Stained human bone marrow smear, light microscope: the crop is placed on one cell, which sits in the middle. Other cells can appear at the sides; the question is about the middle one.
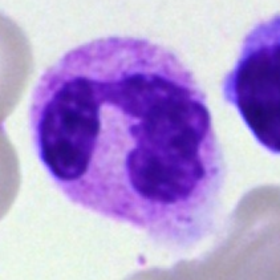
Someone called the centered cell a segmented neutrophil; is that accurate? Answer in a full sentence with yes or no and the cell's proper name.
Yes, the cell of interest in the middle is a segmented neutrophil.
